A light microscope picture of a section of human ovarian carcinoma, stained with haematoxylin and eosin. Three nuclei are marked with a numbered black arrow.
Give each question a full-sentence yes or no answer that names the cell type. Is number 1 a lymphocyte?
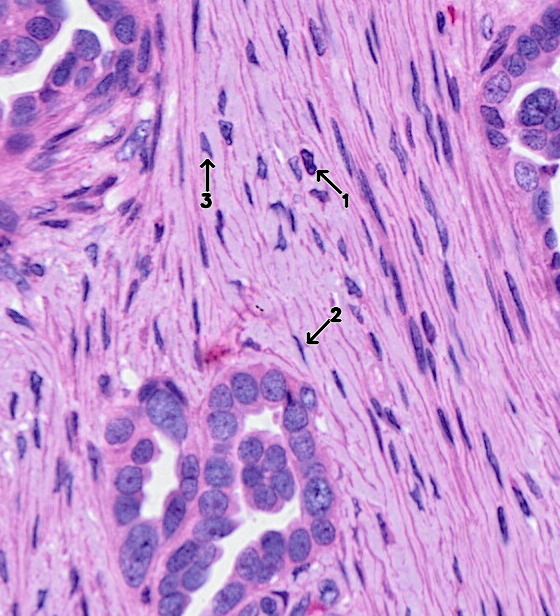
Yes, the cell tagged with number 1 is a lymphocyte.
